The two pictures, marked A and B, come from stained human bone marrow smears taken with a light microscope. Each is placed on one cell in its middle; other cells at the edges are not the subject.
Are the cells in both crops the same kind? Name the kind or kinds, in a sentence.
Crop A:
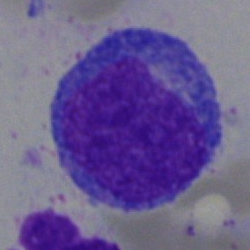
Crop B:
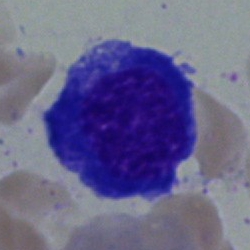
No, crop A shows a promyelocyte, whereas a proerythroblast is what crop B shows.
